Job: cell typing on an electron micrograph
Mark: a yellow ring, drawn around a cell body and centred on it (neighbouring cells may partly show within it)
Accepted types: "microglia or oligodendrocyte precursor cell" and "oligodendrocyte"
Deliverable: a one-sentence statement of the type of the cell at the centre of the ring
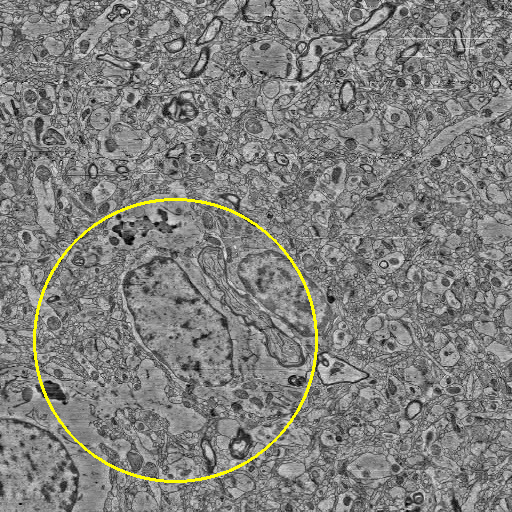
The centred cell body is that of a microglial cell or oligodendrocyte precursor cell.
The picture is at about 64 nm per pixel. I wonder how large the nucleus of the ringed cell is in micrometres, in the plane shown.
In this plane, about 10 by 5 micrometres: the nucleus is clearly longer than it is wide.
